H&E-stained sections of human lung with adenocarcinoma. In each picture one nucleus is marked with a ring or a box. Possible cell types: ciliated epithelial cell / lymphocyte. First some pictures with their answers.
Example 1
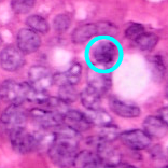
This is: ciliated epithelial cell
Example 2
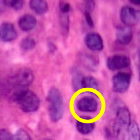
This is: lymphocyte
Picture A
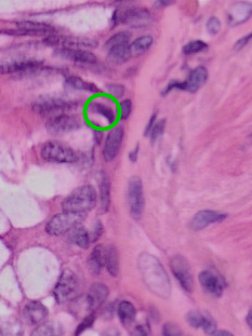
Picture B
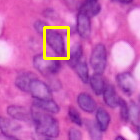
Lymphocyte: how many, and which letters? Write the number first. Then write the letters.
0, none of them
